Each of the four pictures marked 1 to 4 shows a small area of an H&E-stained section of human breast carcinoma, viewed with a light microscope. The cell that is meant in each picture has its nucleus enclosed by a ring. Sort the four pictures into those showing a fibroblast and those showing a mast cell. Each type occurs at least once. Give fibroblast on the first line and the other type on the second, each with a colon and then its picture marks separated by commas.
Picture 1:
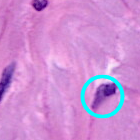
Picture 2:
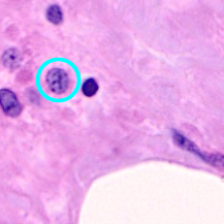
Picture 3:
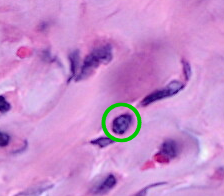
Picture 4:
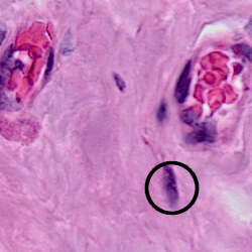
fibroblast: 1, 4
mast cell: 2, 3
